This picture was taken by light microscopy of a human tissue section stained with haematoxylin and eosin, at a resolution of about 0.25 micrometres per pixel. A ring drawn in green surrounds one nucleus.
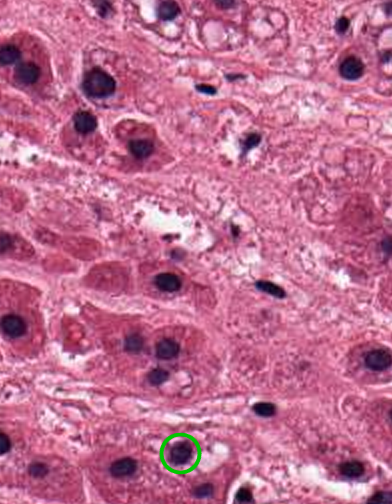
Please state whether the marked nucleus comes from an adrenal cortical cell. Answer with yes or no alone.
yes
